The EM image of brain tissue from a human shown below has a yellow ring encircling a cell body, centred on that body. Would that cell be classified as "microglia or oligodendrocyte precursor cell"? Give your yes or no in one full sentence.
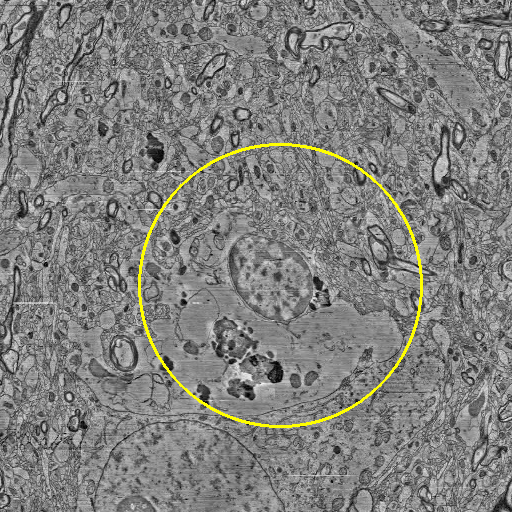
Yes, the cell at the centre of the ring in the picture falls in that class.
